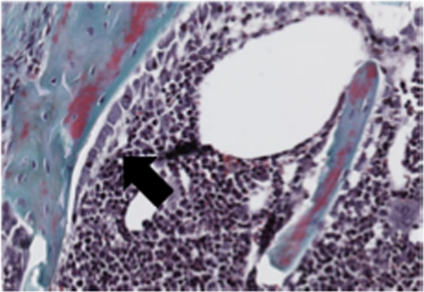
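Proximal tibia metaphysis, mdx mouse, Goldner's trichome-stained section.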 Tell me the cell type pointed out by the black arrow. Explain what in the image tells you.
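The arrow points at cells lining the surface of a green-stained bone trabecula. The lining cells sit in a row directly on the bone surface.
Answer: osteoblasts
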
